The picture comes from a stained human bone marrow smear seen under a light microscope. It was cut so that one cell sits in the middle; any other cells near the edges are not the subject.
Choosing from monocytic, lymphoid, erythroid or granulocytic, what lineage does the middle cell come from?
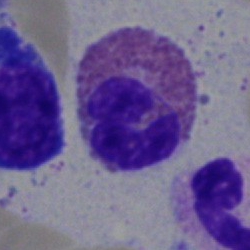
granulocytic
